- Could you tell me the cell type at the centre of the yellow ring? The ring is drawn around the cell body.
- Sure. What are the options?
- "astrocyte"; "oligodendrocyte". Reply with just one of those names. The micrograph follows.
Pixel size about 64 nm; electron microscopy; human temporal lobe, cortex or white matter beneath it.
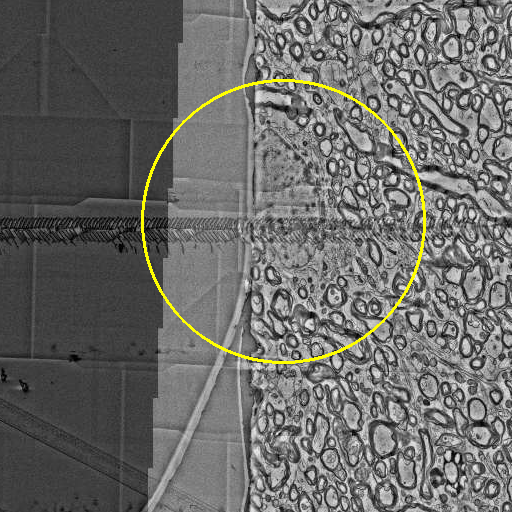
astrocyte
